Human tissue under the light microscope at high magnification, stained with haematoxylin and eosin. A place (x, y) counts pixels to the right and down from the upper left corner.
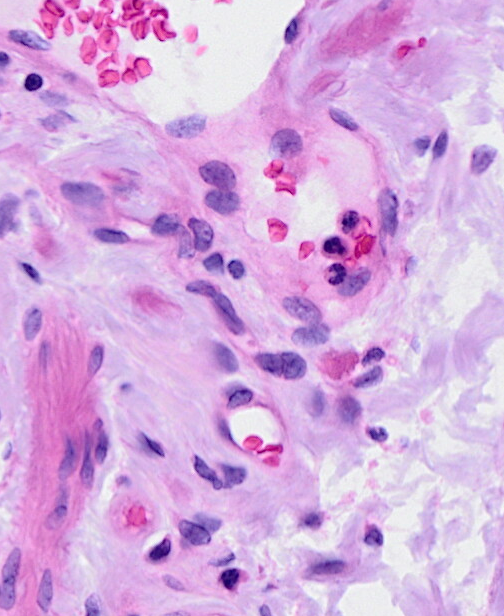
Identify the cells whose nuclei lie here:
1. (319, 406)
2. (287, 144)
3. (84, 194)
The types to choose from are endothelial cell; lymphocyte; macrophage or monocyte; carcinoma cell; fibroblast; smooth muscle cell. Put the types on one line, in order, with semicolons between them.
fibroblast; endothelial cell; endothelial cell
